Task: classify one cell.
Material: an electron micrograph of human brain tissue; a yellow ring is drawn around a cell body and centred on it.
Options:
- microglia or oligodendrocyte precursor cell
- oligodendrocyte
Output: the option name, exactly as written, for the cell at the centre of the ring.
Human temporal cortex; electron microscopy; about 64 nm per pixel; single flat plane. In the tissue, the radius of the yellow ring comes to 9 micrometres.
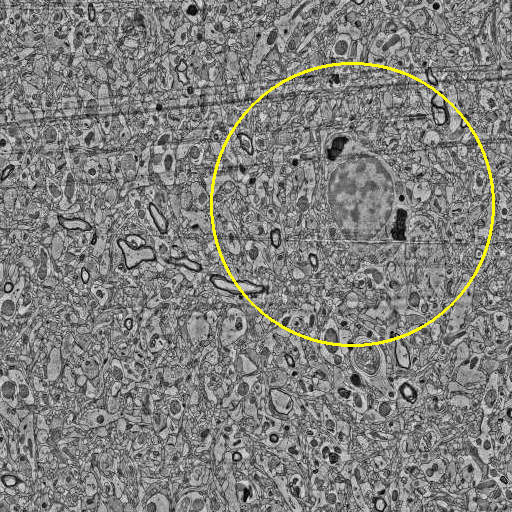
oligodendrocyte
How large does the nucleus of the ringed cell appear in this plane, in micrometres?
The nucleus comes to roughly 5 by 4 micrometres in this plane.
